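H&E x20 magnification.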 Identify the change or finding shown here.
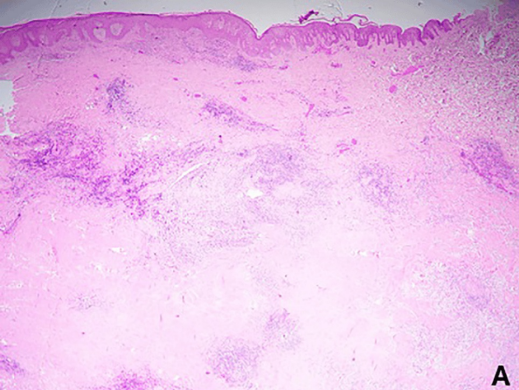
Superficial and deep perivascular and peri-adnexal lymphocytic infiltrates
